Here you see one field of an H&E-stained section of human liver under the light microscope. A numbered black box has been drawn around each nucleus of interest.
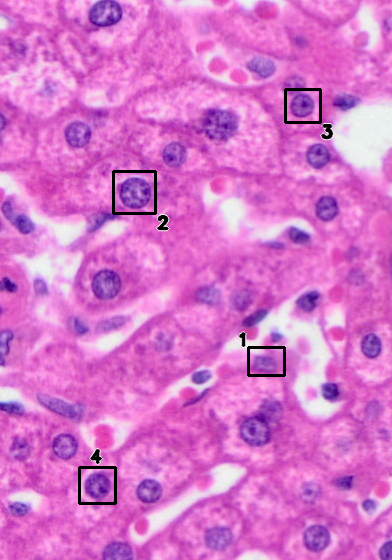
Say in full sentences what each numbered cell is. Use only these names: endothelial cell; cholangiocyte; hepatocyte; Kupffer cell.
Cell 1 is a Kupffer cell. Cells 2, 3 and 4 are hepatocytes.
